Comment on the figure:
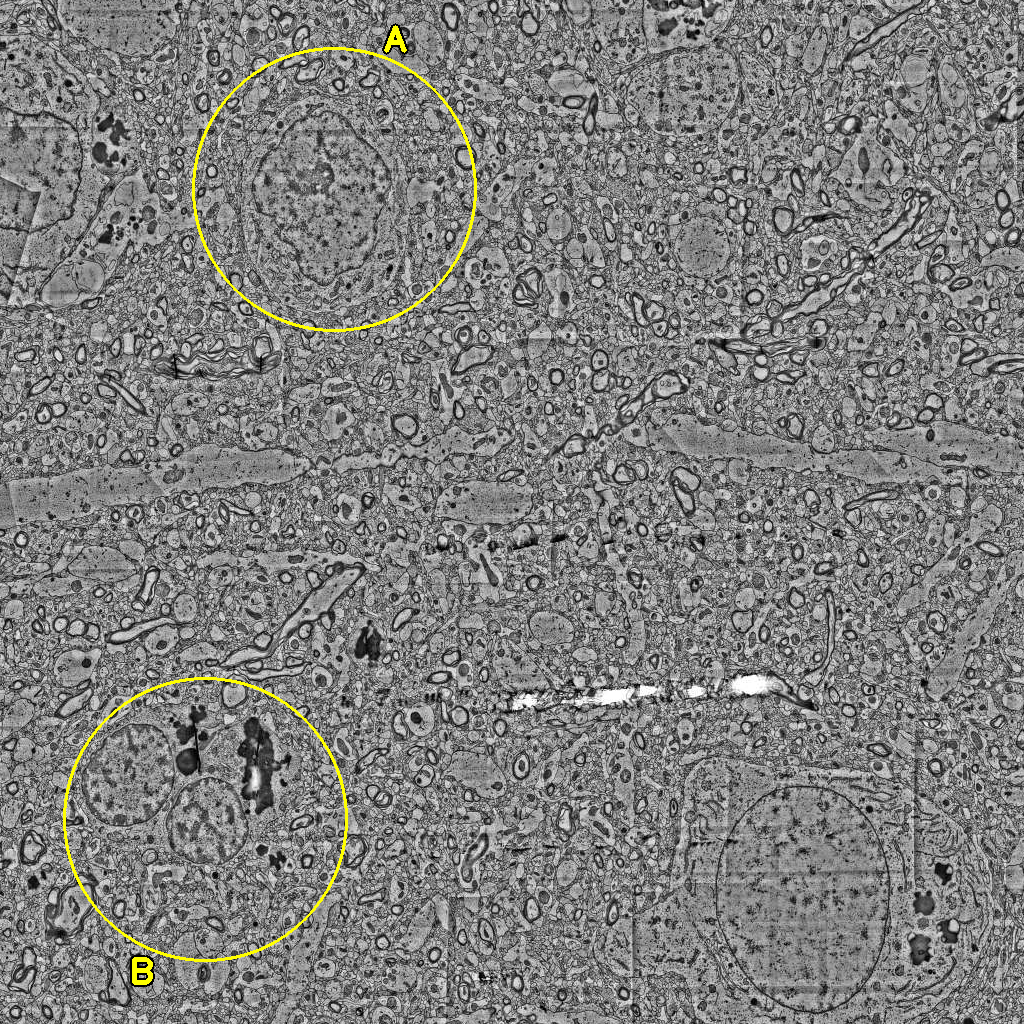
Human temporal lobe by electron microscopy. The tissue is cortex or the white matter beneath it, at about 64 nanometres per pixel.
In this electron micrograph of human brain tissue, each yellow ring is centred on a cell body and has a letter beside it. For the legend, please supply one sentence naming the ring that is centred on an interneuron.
Ring A is centred on that cell.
